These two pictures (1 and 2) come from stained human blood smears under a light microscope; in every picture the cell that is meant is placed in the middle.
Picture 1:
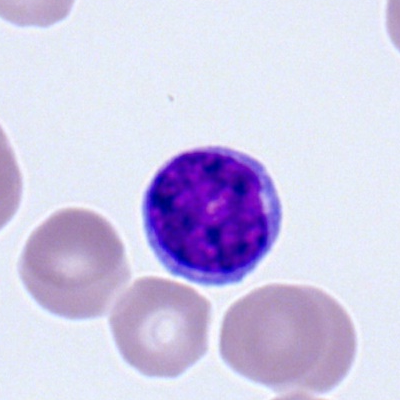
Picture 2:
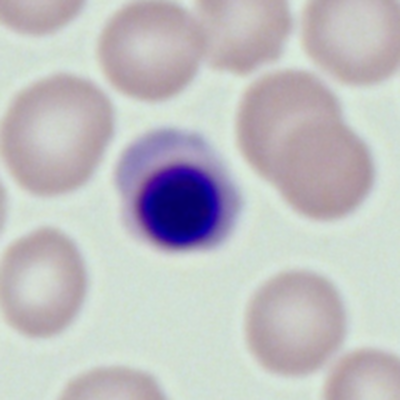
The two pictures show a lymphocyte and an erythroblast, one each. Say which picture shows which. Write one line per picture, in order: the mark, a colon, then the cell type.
1: lymphocyte
2: erythroblast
